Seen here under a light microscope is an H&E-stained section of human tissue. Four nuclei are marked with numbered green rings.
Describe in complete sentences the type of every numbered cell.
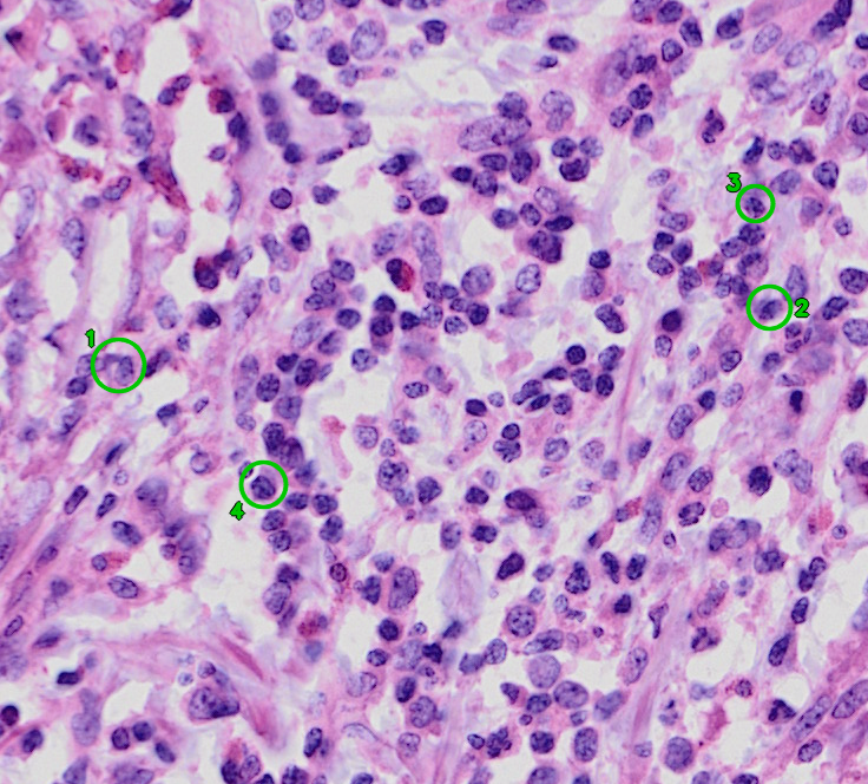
Cell 1 is a macrophage or monocyte. Cells 2, 3 and 4 are lymphocytes.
